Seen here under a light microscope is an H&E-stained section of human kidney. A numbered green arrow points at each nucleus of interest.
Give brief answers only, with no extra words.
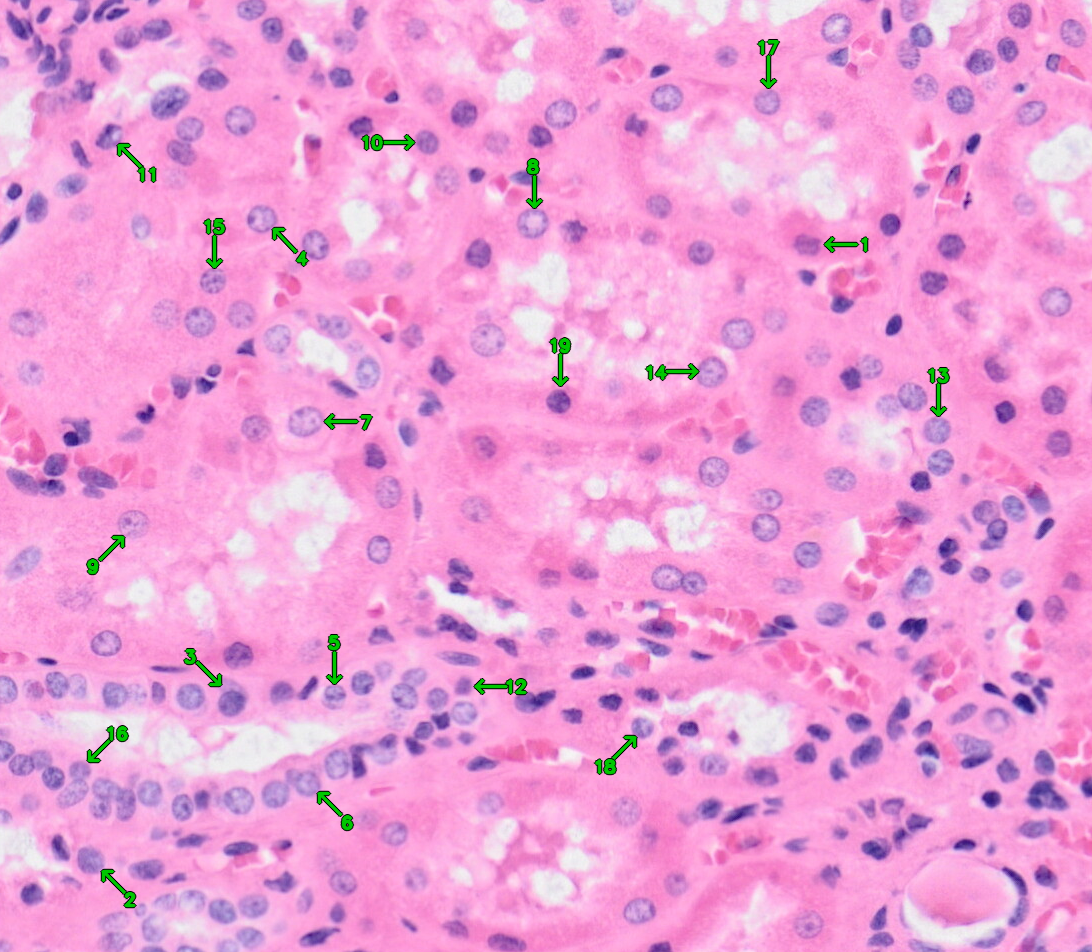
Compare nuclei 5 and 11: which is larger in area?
11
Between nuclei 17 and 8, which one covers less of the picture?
17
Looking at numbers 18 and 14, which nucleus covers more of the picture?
14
